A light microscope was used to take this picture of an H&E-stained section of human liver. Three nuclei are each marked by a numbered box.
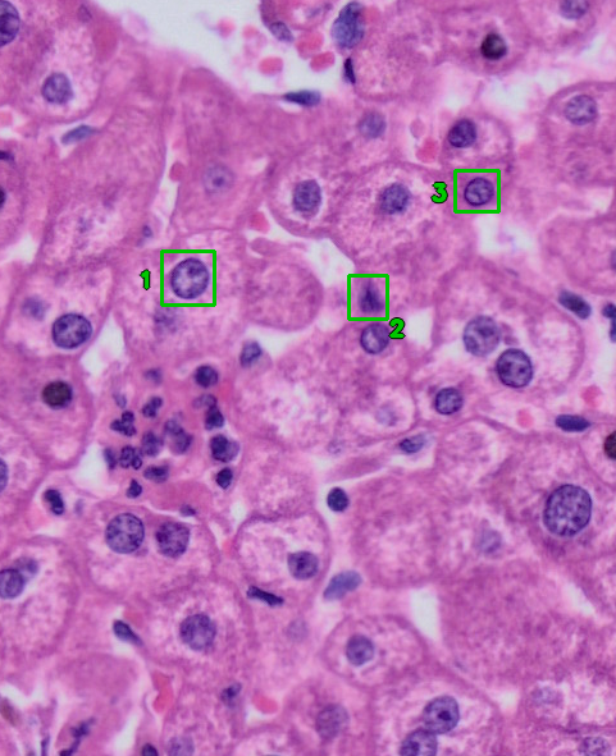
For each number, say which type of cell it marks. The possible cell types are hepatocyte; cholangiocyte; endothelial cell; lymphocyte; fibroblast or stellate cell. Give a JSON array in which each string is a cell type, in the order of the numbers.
["hepatocyte", "fibroblast or stellate cell", "hepatocyte"]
